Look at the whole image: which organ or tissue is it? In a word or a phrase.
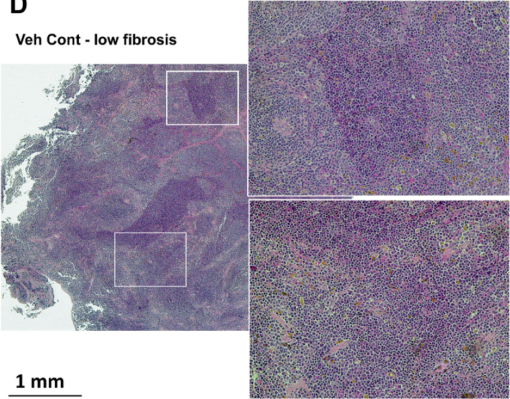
Spleen.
